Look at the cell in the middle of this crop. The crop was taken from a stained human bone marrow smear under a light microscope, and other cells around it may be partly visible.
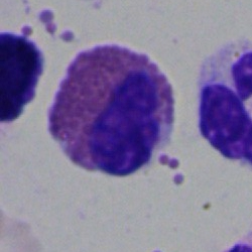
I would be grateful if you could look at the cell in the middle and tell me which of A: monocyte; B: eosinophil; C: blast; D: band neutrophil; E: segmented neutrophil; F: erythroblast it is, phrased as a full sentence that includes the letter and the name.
The cell positioned centrally is an eosinophil, as given in option B, which is correct.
